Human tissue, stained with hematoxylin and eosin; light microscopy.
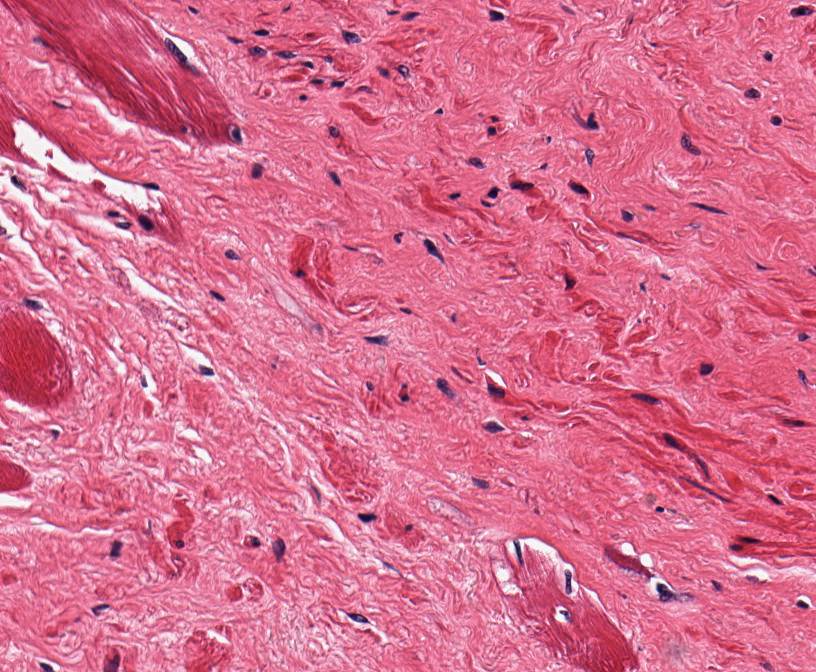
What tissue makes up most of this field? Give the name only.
fibromuscular stroma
